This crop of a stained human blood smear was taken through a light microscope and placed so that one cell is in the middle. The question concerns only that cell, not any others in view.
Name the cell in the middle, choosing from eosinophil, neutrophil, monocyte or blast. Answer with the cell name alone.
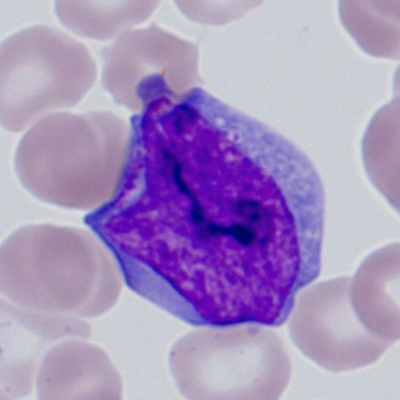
blast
